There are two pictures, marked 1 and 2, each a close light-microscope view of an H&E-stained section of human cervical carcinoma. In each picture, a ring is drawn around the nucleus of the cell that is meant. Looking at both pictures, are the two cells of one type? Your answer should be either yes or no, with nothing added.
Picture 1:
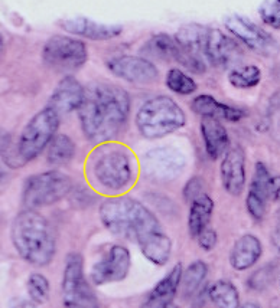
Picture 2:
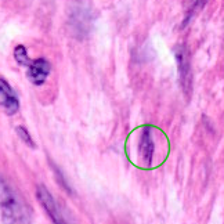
no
